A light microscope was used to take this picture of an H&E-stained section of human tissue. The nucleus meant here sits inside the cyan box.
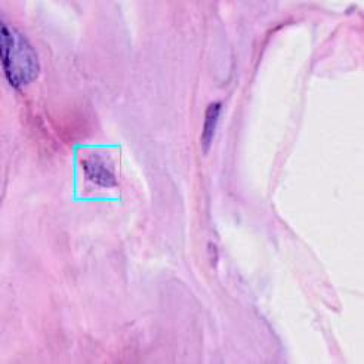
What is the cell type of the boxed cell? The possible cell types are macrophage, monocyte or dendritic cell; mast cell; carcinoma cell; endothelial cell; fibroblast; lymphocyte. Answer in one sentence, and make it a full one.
Among the cells in this section, the boxed cell is a fibroblast.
